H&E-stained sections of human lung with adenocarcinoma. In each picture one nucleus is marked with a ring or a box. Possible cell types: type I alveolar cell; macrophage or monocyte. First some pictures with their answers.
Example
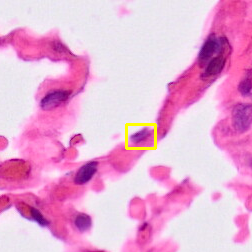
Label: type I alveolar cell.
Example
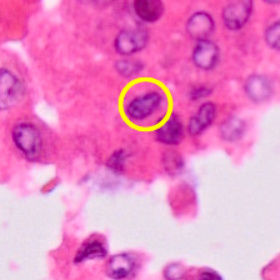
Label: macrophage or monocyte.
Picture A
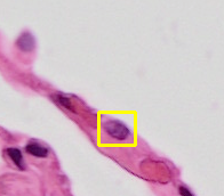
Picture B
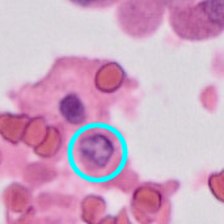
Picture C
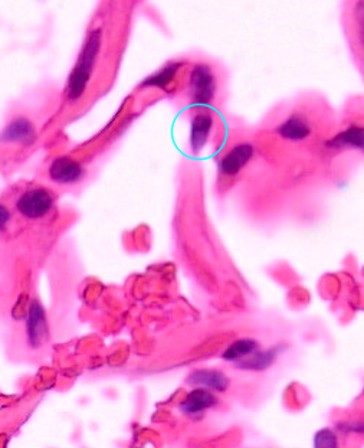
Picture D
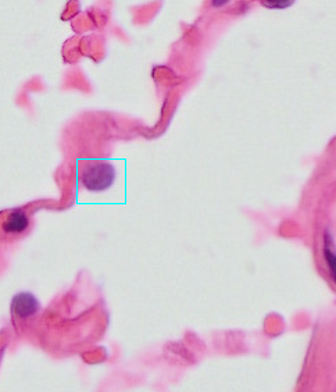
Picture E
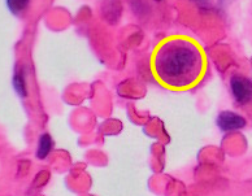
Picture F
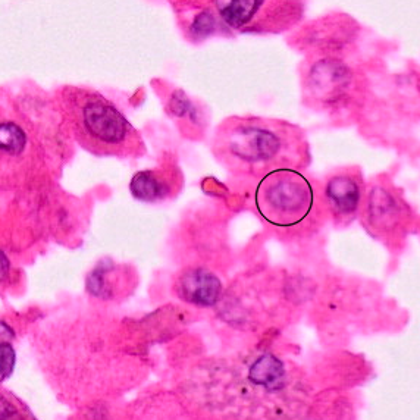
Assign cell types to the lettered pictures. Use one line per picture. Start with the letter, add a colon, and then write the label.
A: type I alveolar cell.
B: macrophage or monocyte.
C: type I alveolar cell.
D: type I alveolar cell.
E: macrophage or monocyte.
F: macrophage or monocyte.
